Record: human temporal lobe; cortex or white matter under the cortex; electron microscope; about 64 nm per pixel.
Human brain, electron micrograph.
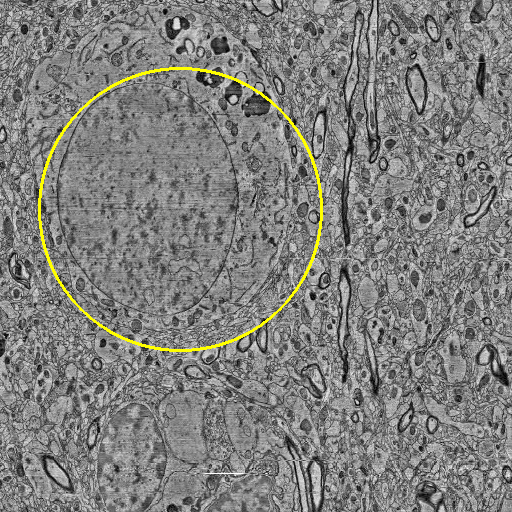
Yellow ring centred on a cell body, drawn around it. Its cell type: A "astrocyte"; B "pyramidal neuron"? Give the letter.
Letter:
B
